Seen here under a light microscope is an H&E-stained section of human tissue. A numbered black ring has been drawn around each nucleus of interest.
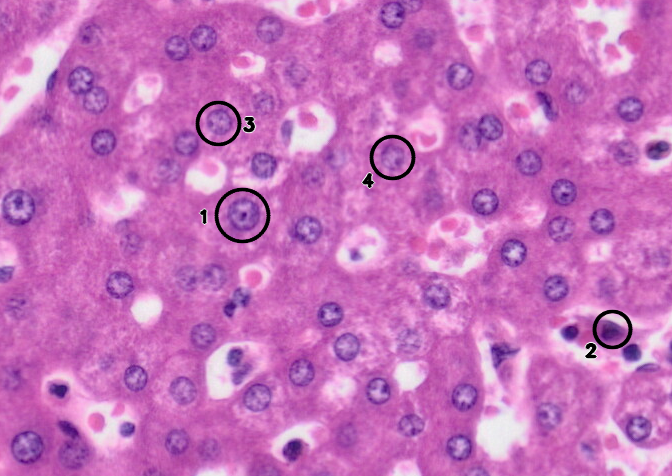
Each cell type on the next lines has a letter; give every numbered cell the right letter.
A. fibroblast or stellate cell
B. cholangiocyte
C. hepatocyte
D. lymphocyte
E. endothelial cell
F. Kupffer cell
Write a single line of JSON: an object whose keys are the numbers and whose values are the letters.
{"1": "C", "2": "F", "3": "C", "4": "C"}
